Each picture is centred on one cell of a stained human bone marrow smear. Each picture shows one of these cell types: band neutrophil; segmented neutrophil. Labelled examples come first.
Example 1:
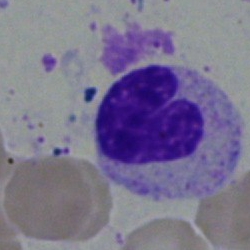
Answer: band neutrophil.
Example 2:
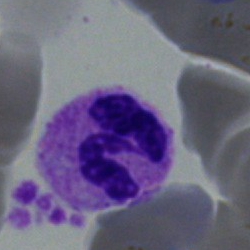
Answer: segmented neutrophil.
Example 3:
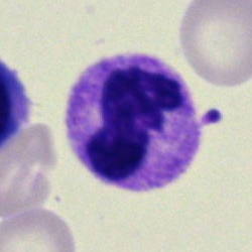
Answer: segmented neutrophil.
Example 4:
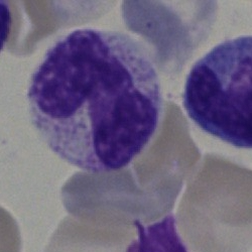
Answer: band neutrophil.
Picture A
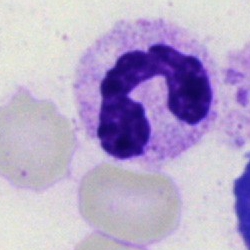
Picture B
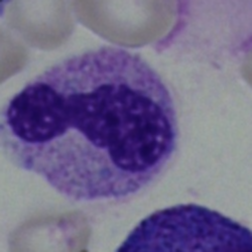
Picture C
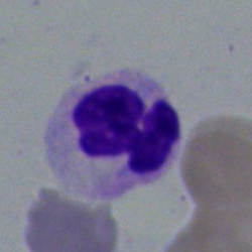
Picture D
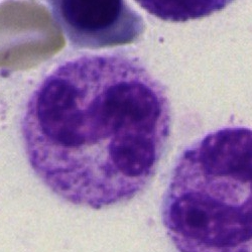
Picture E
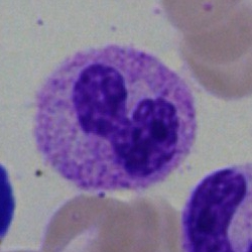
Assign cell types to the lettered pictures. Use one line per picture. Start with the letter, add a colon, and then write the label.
A: segmented neutrophil.
B: band neutrophil.
C: segmented neutrophil.
D: segmented neutrophil.
E: segmented neutrophil.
